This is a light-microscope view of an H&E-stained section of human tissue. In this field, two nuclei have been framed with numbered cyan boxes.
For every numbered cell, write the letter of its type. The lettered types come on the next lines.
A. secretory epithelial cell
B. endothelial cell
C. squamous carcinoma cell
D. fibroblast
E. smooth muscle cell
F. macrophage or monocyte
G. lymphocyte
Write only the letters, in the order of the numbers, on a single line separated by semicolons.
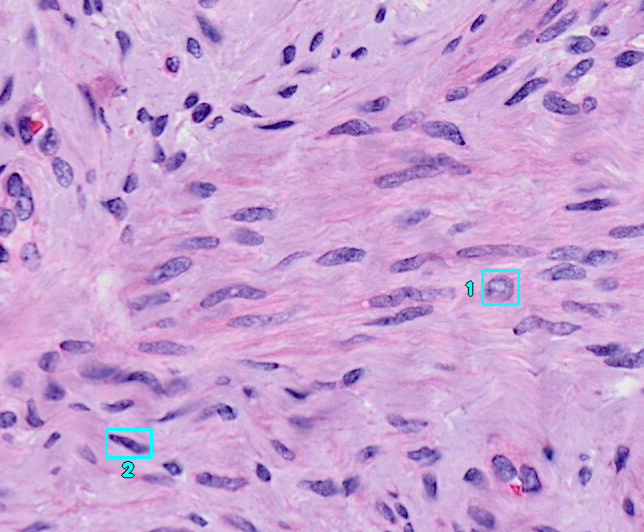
E; D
